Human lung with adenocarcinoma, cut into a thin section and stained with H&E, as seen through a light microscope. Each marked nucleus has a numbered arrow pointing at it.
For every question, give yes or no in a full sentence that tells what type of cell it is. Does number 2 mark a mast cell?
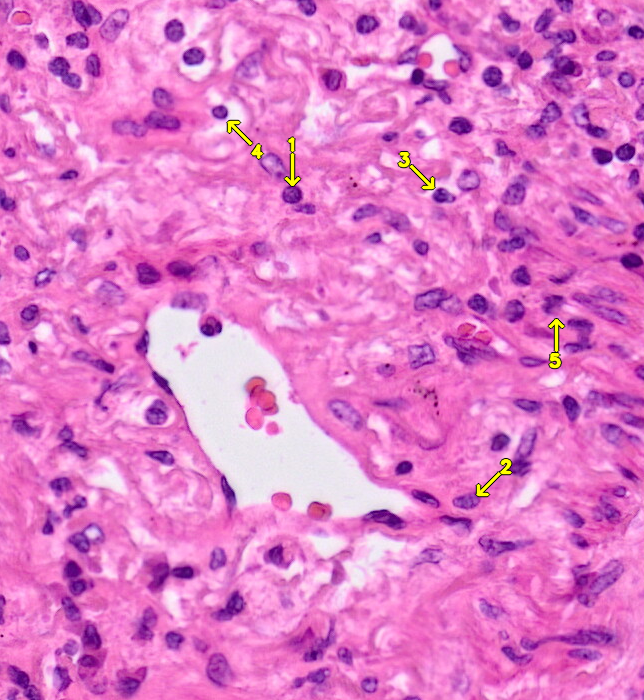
Yes, the cell at marker 2 is a mast cell.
